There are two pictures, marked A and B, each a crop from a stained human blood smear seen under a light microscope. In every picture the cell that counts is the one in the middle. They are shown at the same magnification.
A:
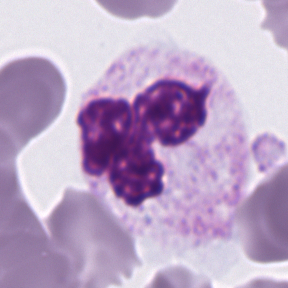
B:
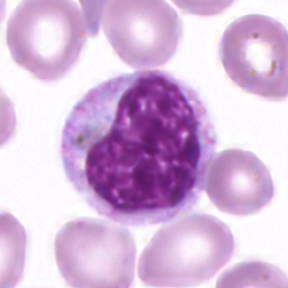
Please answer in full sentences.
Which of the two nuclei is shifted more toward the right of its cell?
Seen within its cell, the nucleus in crop B lies further toward the right.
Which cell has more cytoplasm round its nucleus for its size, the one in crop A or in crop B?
In crop A the nucleus takes up the smaller part of its cell.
